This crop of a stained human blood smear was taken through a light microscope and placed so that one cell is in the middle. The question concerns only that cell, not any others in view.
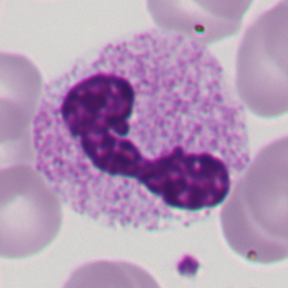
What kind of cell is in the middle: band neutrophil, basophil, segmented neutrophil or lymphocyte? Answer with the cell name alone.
segmented neutrophil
